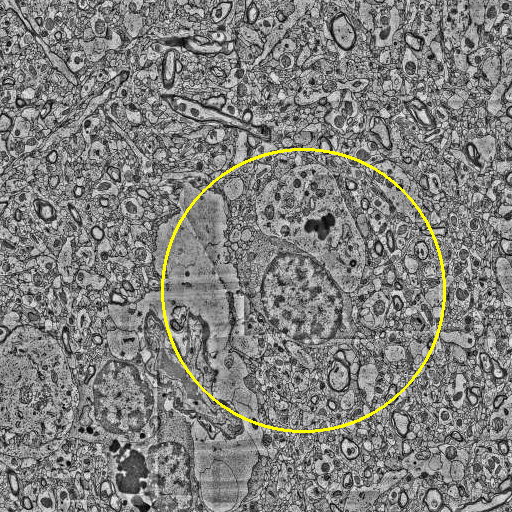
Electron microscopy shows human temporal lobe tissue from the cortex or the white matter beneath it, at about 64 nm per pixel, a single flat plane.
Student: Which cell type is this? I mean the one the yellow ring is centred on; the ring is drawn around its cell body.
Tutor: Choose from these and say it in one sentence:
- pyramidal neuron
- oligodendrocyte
The cell the ring is centred on is an oligodendrocyte.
